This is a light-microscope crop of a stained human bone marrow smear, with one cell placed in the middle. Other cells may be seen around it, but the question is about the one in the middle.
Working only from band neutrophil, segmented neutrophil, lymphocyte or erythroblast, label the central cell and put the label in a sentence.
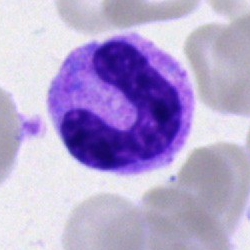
The cell around which this crop is centred is a band neutrophil.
